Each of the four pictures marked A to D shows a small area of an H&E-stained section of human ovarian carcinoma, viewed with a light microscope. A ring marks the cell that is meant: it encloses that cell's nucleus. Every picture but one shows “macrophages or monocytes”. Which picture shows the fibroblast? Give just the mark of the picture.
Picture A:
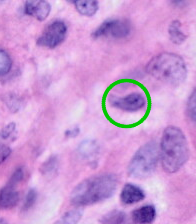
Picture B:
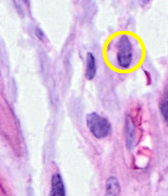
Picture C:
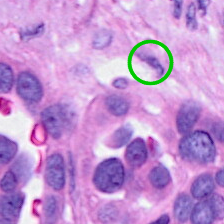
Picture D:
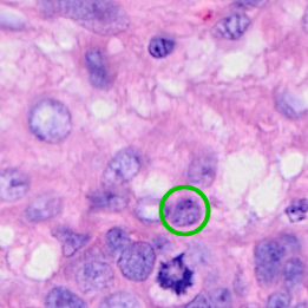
C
